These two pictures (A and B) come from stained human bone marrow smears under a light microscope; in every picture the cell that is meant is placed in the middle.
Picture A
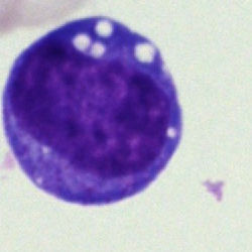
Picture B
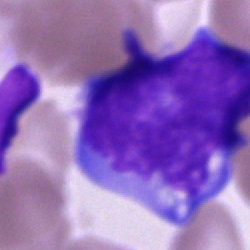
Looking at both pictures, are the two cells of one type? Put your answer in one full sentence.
Yes, both are blasts.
